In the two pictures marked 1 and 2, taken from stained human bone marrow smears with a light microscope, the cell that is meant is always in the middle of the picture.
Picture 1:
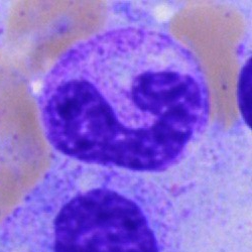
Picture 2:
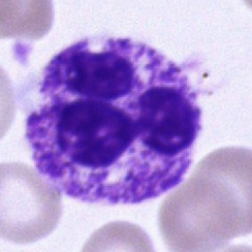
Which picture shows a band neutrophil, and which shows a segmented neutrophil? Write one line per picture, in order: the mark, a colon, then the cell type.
1: band neutrophil
2: segmented neutrophil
